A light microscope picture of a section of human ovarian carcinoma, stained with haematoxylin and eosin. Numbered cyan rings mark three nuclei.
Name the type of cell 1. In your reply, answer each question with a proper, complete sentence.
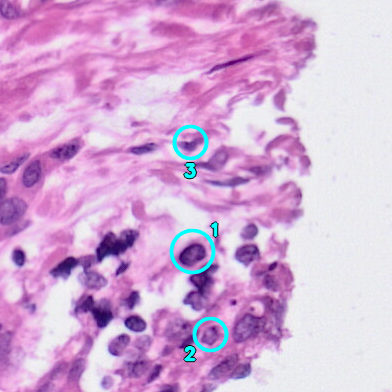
Cell 1 in the field is a macrophage or monocyte.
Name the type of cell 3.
The marked cell with the number 3 is recognised as a fibroblast.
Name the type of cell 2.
Cell 2 should be recorded as a macrophage or monocyte.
